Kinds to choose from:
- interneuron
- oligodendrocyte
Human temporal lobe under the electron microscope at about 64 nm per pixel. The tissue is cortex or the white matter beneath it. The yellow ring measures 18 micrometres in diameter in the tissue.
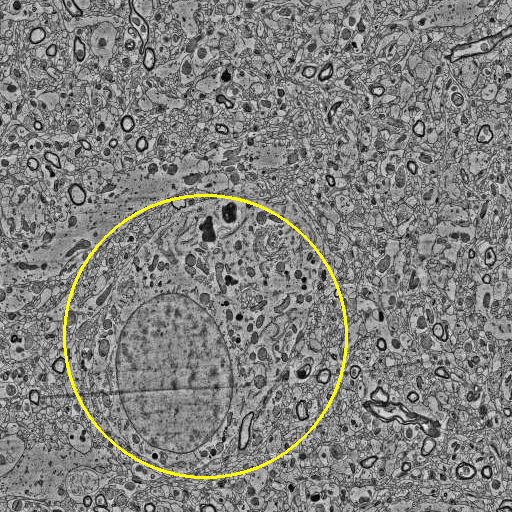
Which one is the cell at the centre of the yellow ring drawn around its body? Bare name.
interneuron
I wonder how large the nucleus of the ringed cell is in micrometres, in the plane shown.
In this plane, the nucleus is roughly 10 by 7 micrometres.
